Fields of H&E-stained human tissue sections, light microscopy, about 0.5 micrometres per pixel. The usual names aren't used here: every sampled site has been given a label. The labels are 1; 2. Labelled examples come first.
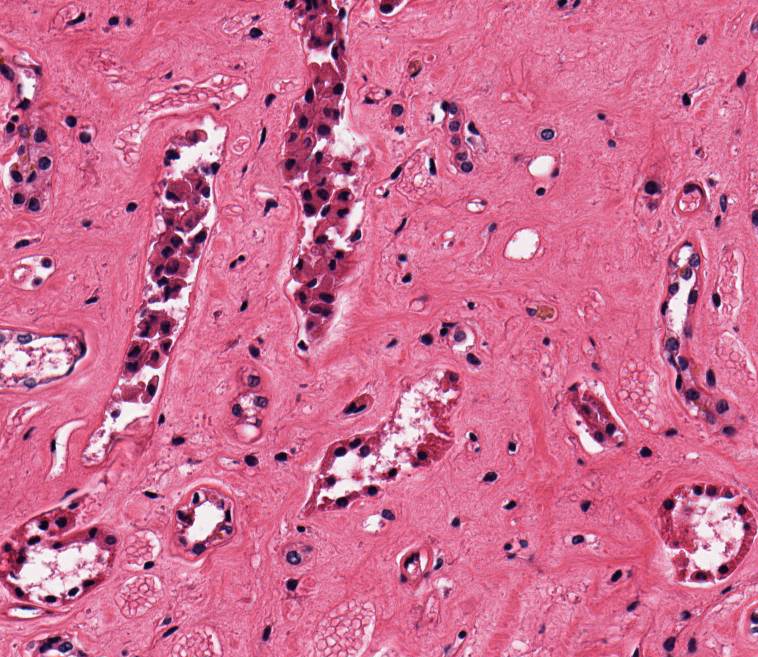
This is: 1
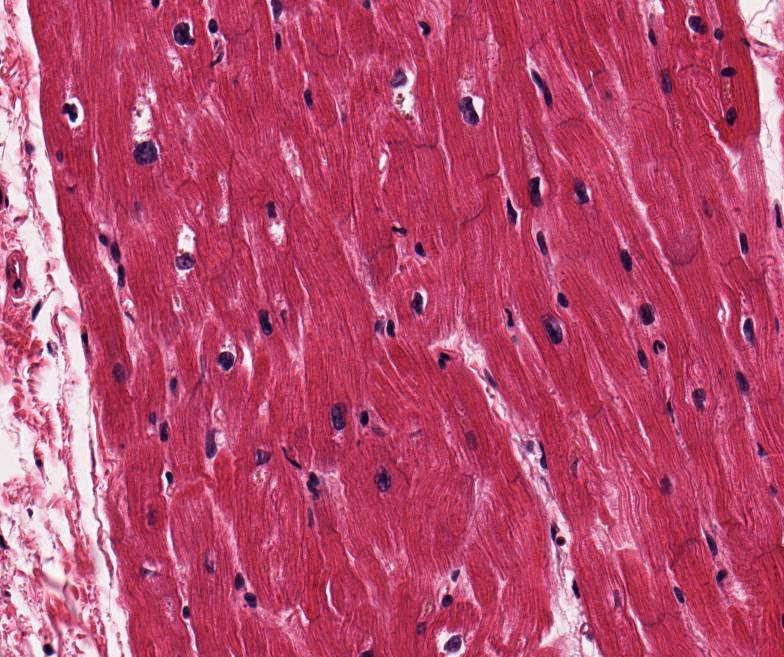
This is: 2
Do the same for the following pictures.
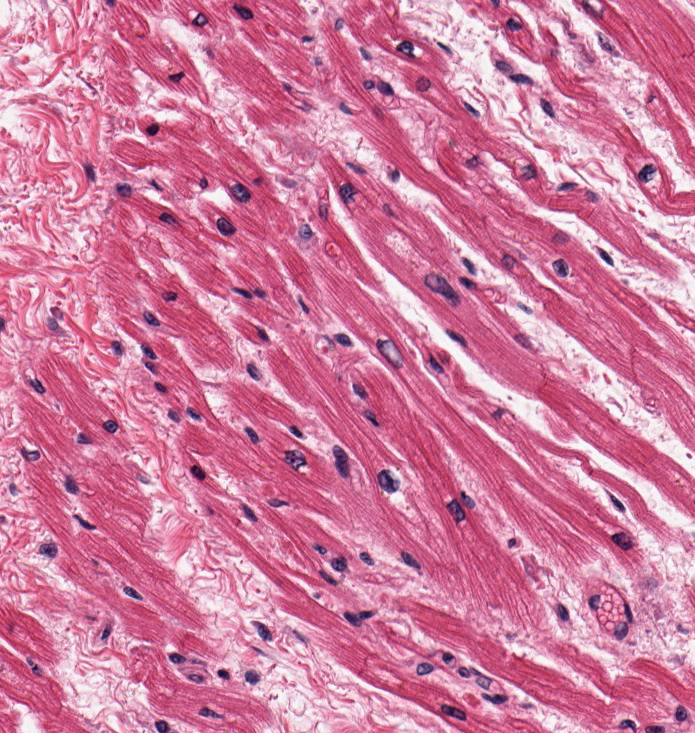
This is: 2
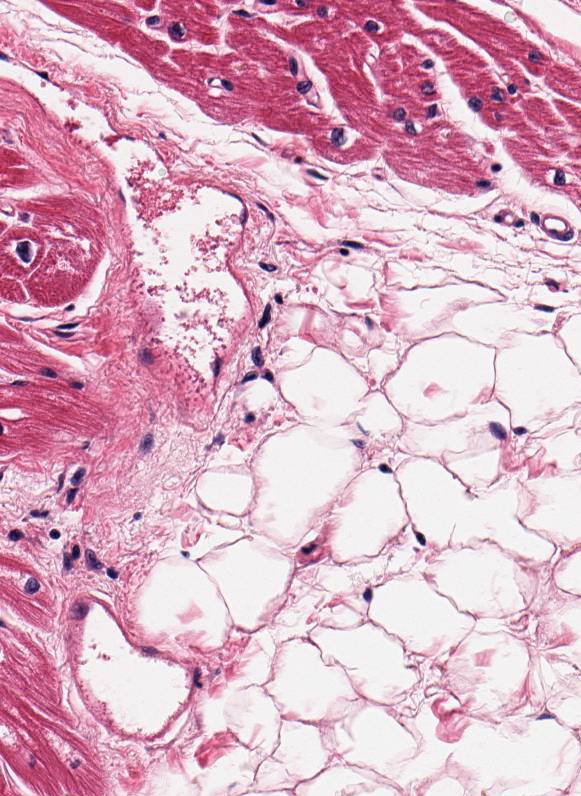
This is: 2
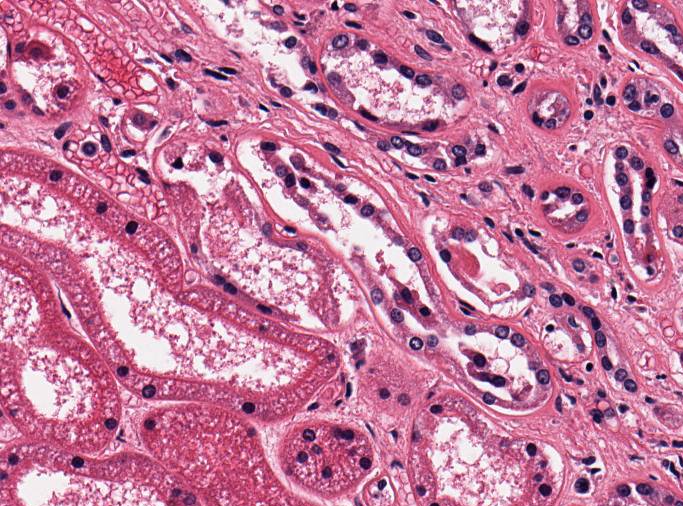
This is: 1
